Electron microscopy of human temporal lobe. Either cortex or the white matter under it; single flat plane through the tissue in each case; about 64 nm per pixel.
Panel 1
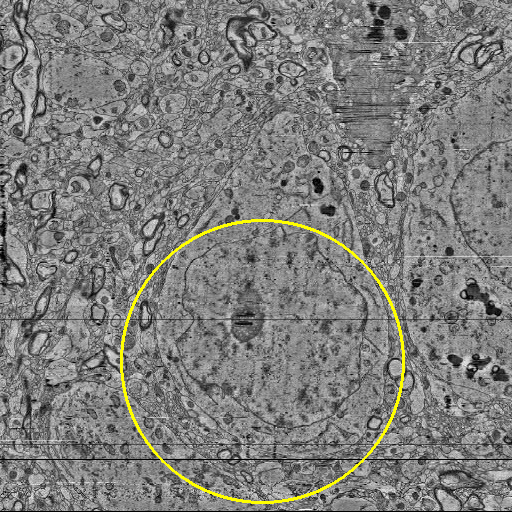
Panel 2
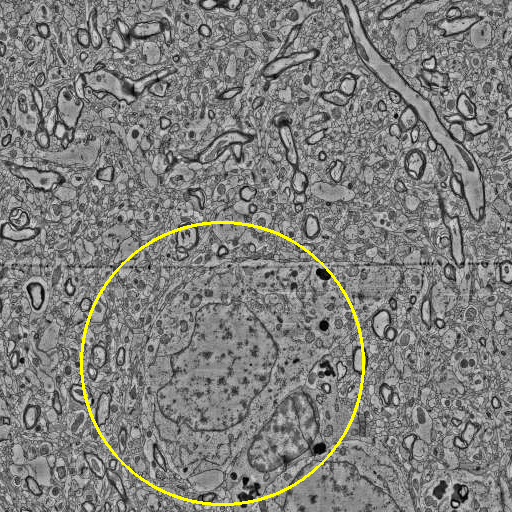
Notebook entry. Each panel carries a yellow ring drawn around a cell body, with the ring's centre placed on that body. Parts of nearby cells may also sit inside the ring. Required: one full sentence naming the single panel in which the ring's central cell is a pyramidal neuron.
Panel 2 is the single one with the sought cell at its ring's centre.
